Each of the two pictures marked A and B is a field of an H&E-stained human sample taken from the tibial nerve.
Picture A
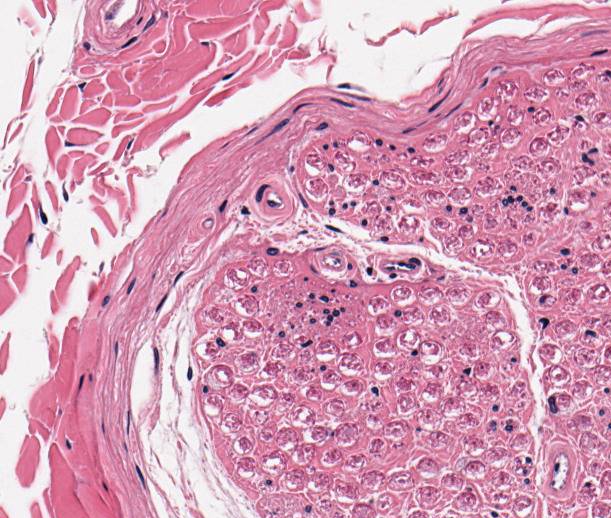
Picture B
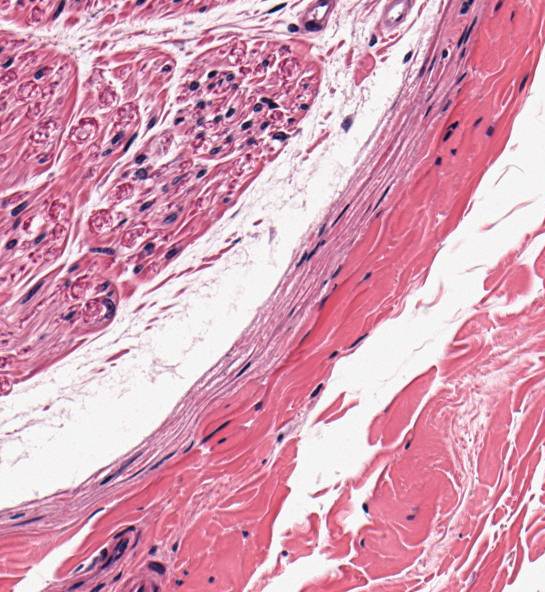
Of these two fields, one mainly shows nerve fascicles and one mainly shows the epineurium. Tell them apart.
A: nerve fascicles
B: epineurium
